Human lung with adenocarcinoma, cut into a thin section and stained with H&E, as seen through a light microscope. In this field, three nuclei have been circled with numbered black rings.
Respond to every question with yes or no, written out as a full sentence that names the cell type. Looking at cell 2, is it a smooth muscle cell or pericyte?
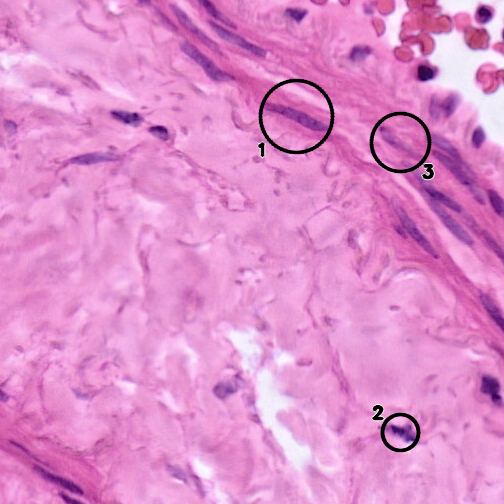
No, at number 2 sits a fibroblast, not a smooth muscle cell or pericyte.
